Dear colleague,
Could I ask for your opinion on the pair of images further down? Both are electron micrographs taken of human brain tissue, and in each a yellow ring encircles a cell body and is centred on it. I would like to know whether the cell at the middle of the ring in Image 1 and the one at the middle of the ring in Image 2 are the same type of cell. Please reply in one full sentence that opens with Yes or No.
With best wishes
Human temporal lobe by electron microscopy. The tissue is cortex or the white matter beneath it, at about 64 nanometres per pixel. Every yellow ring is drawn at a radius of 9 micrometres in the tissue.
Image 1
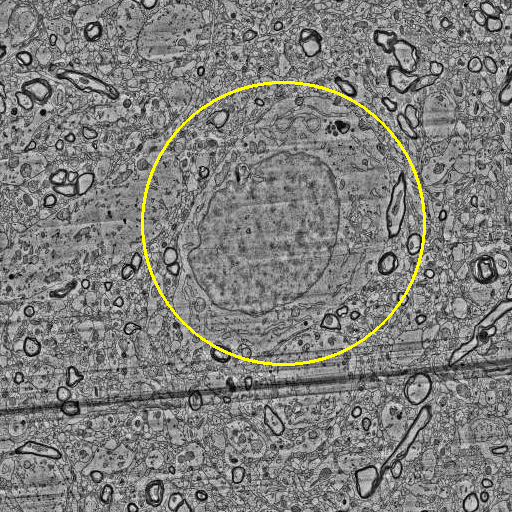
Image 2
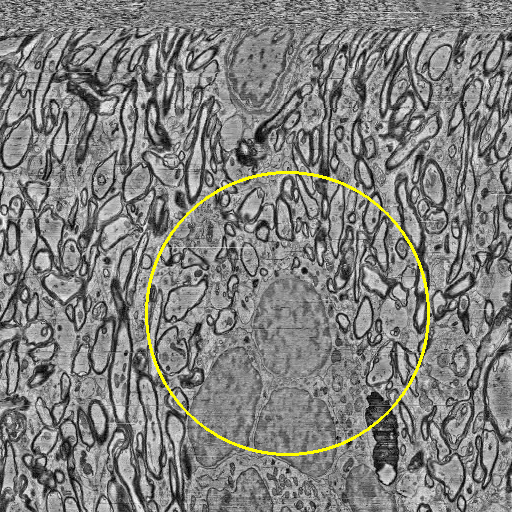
No, the cells at the ring centres in Image 1 and Image 2 are of two types.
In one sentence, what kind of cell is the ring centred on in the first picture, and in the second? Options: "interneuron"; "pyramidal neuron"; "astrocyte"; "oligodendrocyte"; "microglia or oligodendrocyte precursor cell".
The cell at the centre of the second ring is an oligodendrocyte; the first ring's cell is an interneuron.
